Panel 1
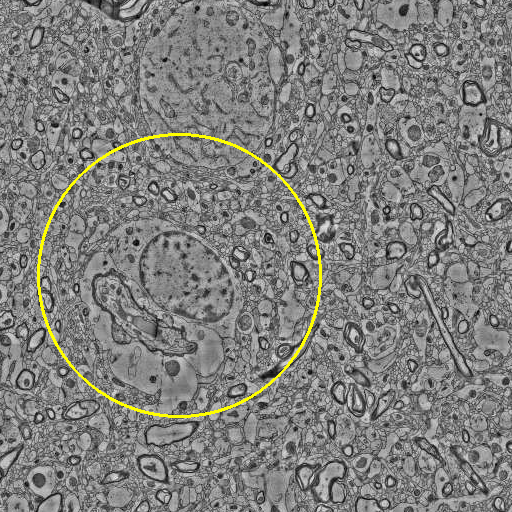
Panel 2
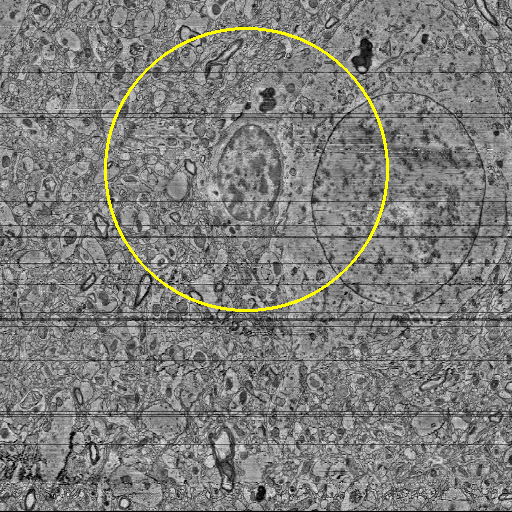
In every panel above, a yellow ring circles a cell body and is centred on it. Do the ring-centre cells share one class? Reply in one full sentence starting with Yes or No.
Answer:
No, the two cells at the ring centres in the panels belong to two classes.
